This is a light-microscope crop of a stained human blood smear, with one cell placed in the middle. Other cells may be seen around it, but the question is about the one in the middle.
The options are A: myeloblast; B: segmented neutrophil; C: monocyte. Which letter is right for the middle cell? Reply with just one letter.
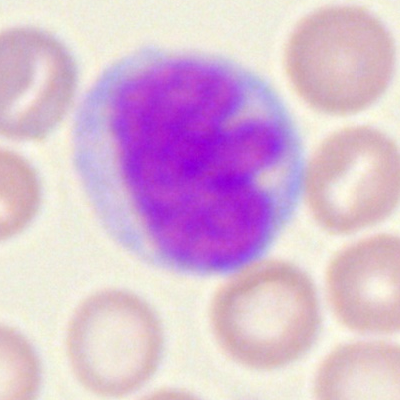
C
